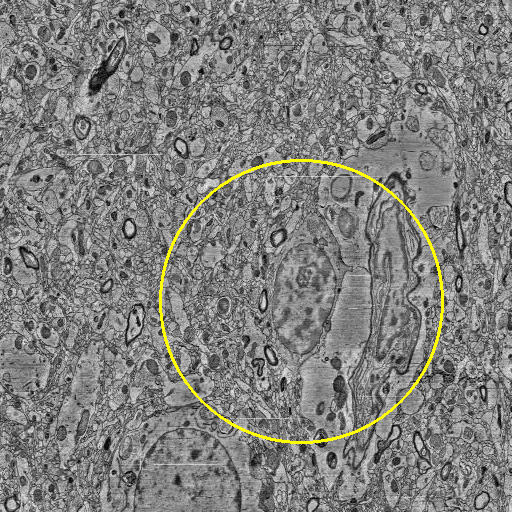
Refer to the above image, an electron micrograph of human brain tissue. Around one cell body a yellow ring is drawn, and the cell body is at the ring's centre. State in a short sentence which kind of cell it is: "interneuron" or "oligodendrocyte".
The centre of the ring falls on an oligodendrocyte.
